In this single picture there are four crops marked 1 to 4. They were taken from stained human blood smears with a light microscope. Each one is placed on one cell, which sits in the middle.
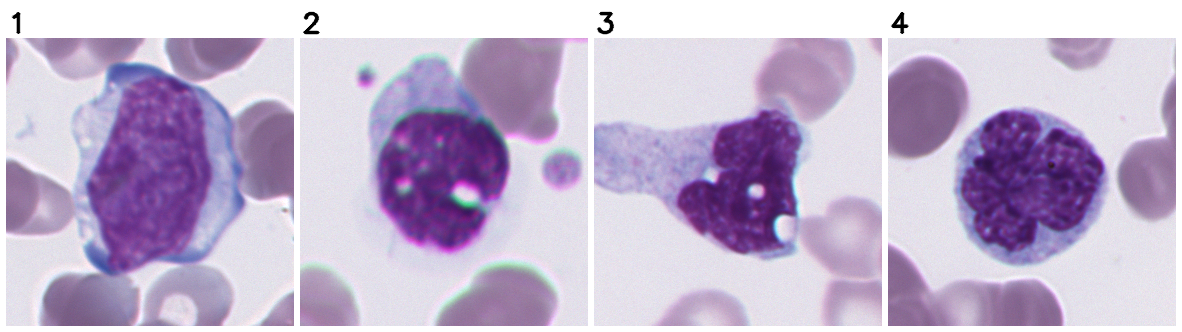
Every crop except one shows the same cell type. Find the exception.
1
